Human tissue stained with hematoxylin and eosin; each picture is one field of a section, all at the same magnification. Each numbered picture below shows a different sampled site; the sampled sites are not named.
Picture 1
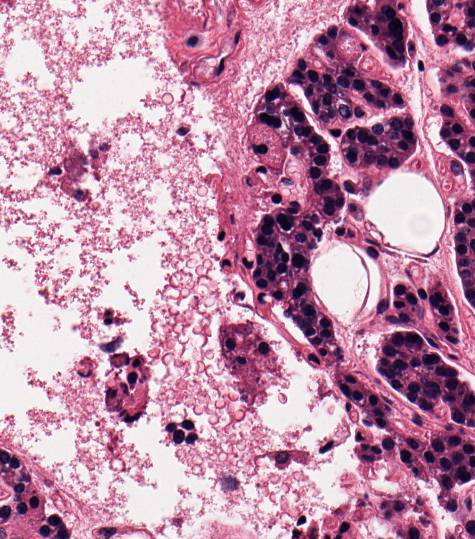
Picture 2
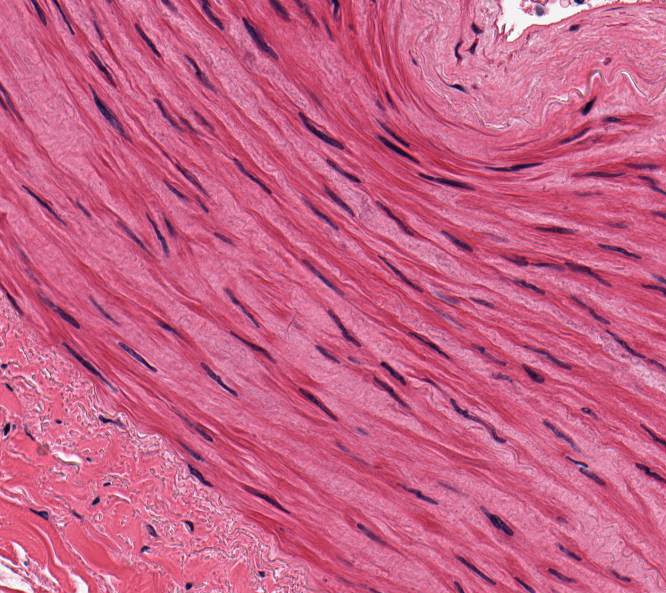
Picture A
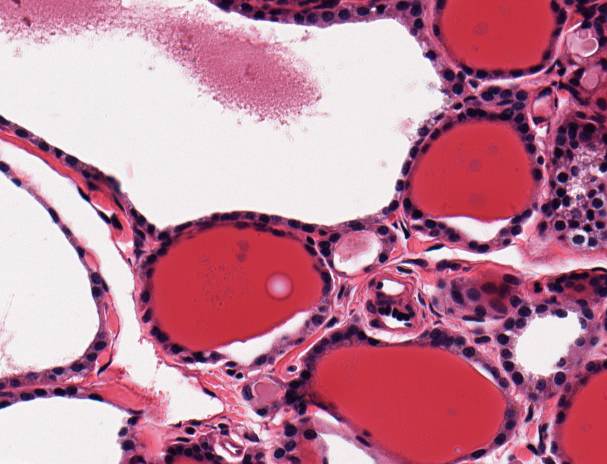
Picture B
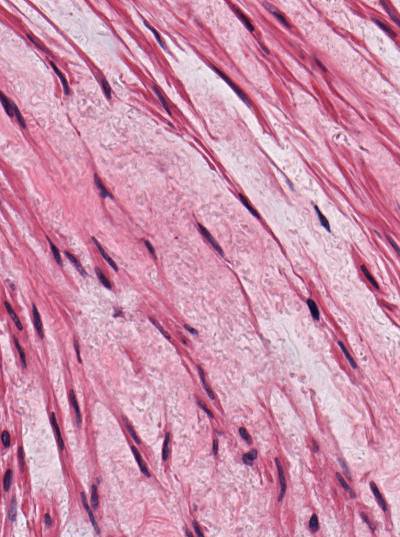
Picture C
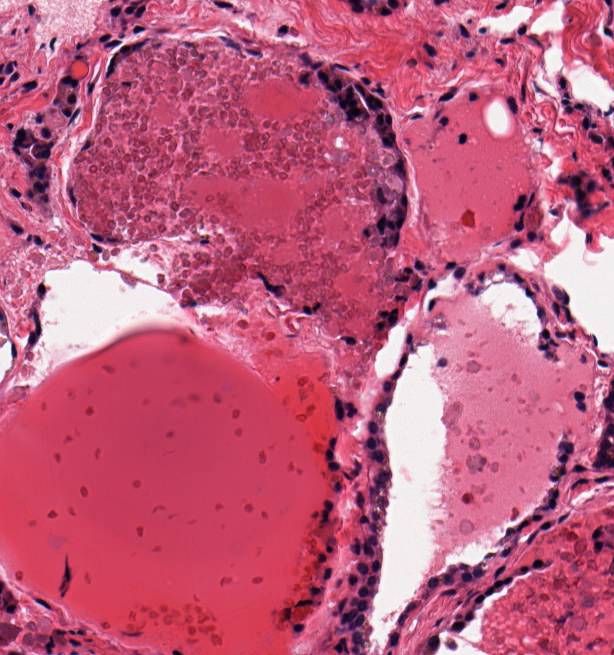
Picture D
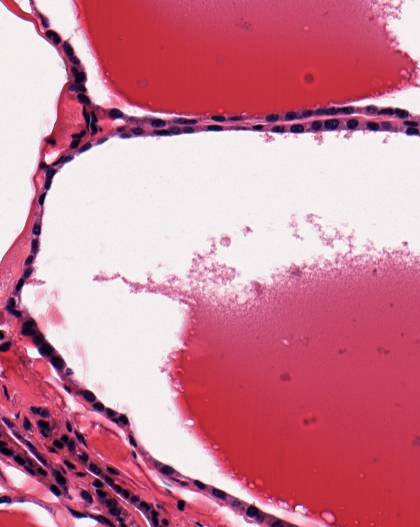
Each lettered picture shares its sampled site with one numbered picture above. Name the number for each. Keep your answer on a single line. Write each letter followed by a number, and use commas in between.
A 1, B 2, C 1, D 1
